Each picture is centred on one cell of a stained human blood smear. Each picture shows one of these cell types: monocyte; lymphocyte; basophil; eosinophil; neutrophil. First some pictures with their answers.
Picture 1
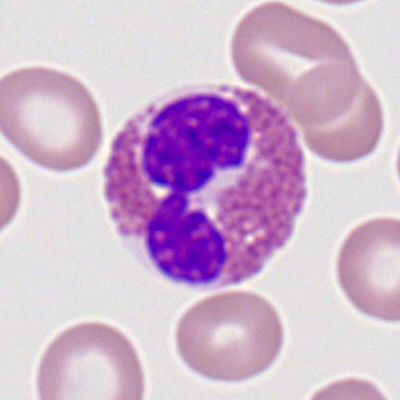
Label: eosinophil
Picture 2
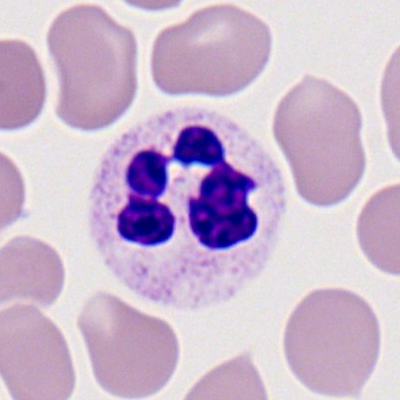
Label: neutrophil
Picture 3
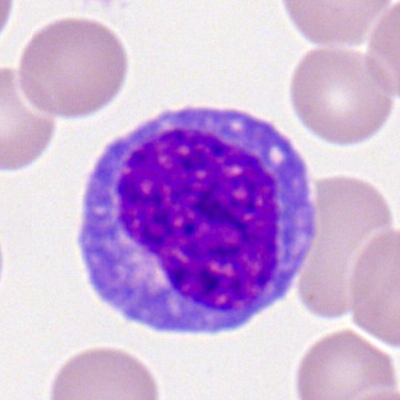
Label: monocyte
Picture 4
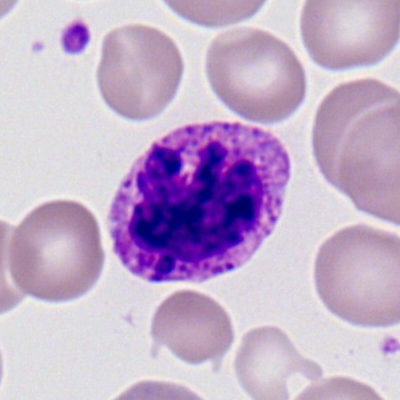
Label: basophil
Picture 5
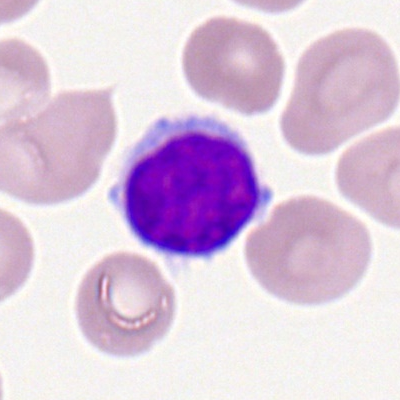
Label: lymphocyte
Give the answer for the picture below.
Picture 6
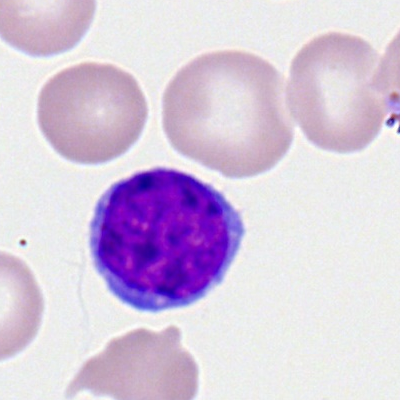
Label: lymphocyte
